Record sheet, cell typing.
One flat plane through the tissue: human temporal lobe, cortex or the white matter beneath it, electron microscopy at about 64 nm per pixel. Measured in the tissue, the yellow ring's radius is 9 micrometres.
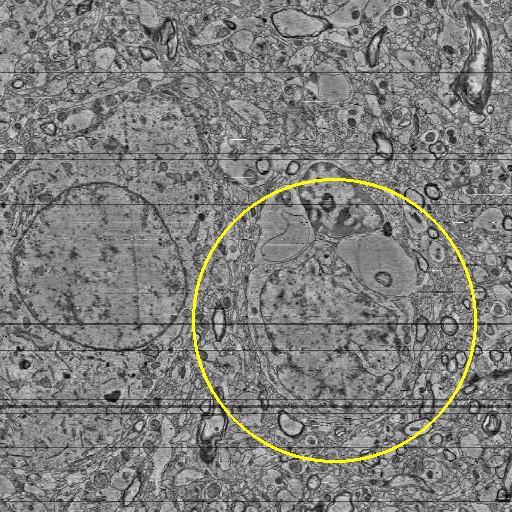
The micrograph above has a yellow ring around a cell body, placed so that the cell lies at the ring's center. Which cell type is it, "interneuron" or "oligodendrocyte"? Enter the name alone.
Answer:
interneuron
